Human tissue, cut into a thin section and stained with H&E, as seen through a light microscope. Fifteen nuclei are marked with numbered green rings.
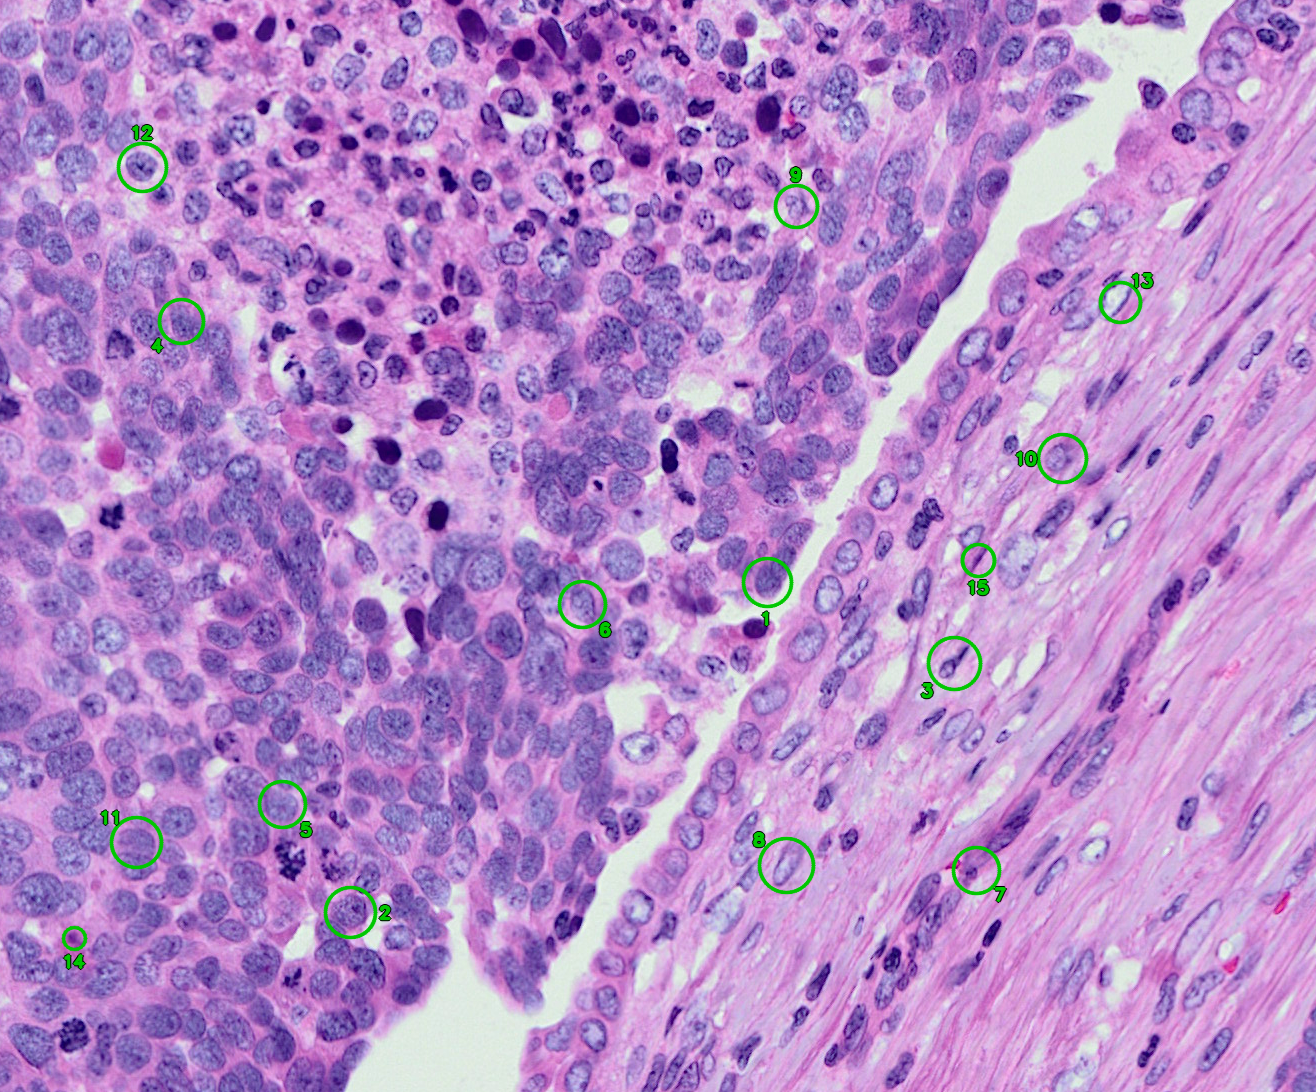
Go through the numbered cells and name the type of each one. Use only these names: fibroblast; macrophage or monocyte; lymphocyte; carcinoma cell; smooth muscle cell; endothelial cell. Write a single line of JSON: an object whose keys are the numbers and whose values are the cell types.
{"1": "carcinoma cell", "2": "carcinoma cell", "3": "macrophage or monocyte", "4": "carcinoma cell", "5": "carcinoma cell", "6": "carcinoma cell", "7": "endothelial cell", "8": "fibroblast", "9": "macrophage or monocyte", "10": "fibroblast", "11": "carcinoma cell", "12": "macrophage or monocyte", "13": "fibroblast", "14": "carcinoma cell", "15": "fibroblast"}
